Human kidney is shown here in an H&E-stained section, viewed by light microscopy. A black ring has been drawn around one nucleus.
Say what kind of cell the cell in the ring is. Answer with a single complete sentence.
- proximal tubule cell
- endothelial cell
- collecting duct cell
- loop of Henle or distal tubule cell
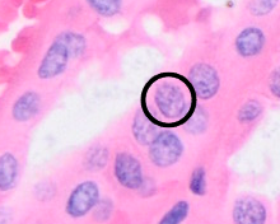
What the cell in the ring represents is a collecting duct cell.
